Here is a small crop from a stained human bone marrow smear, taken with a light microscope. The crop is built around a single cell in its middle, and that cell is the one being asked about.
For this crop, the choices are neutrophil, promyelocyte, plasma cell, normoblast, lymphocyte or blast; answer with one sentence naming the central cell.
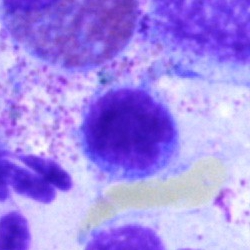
Located at the centre of the crop is a lymphocyte.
